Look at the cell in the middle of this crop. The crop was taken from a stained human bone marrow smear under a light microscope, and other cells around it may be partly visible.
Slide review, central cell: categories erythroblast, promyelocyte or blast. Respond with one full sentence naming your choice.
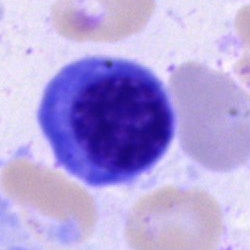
For this crop, the central cell is an erythroblast.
